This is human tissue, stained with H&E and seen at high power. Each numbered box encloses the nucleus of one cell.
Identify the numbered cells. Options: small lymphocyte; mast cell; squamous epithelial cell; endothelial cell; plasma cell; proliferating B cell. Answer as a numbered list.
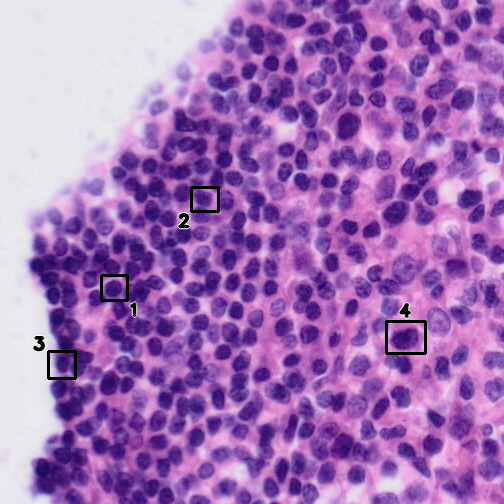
1. small lymphocyte
2. small lymphocyte
3. small lymphocyte
4. proliferating B cell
